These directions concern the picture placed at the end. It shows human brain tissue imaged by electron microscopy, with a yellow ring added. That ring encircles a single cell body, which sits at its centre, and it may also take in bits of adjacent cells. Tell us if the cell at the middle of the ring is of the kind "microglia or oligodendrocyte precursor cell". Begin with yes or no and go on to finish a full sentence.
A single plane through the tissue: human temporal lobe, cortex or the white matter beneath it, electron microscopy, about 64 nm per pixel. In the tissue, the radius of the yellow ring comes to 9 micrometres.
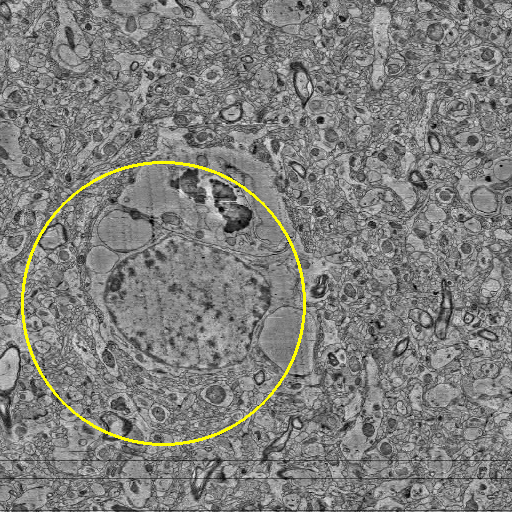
No, the cell sitting at the centre of the yellow ring in the picture belongs to another kind.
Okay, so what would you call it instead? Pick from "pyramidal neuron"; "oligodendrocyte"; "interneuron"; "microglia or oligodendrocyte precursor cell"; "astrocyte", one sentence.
The correct answer is that the cell is an astrocyte.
